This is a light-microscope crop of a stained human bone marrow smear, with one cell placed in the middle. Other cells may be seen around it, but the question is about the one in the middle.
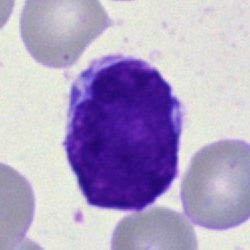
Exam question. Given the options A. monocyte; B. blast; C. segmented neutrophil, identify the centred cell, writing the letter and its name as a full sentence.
The cell positioned centrally is a blast, as given in option B, which is correct.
